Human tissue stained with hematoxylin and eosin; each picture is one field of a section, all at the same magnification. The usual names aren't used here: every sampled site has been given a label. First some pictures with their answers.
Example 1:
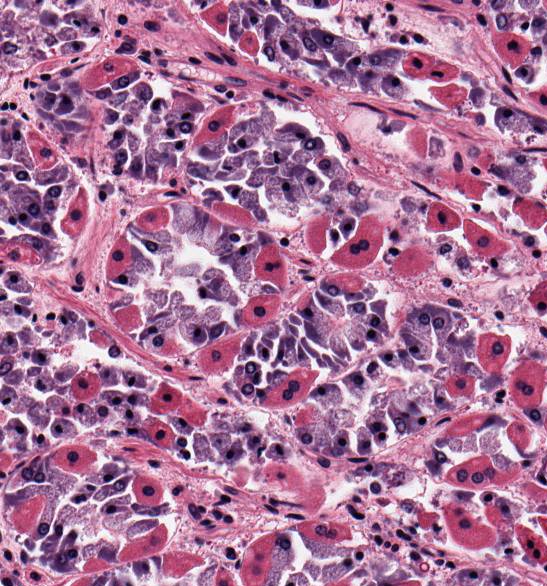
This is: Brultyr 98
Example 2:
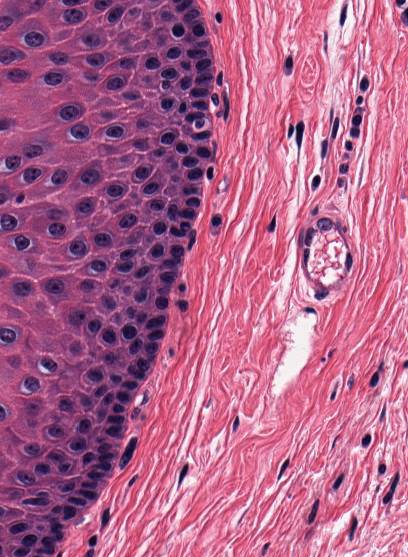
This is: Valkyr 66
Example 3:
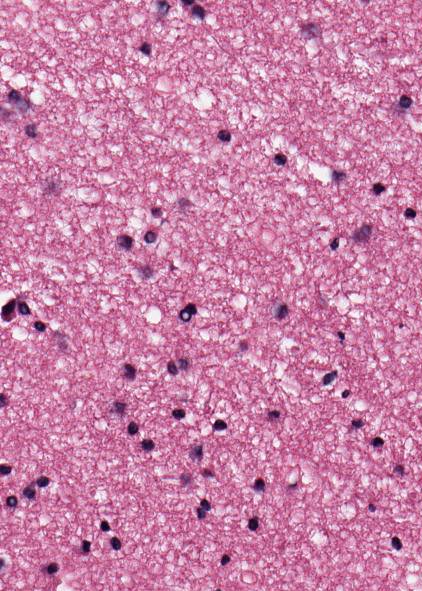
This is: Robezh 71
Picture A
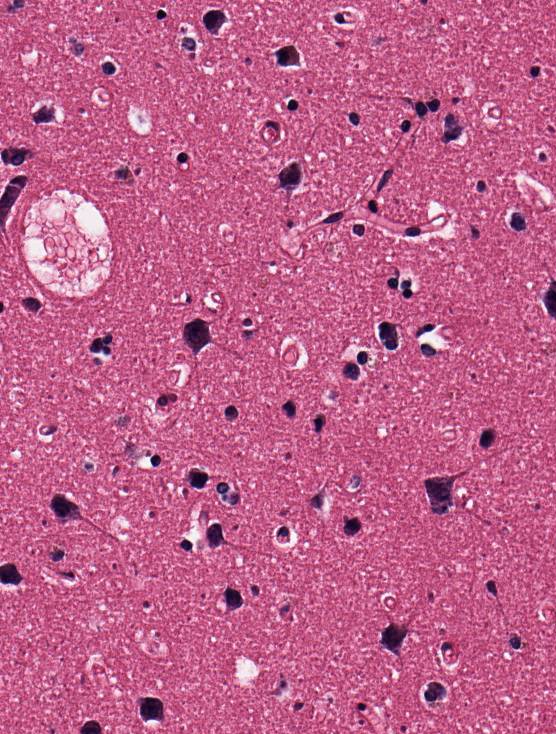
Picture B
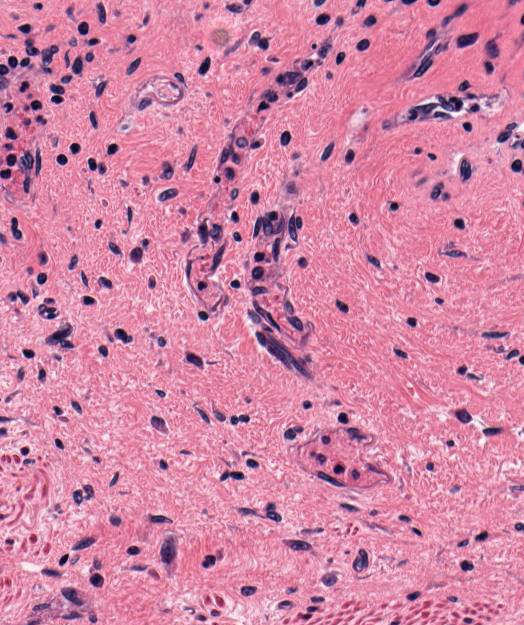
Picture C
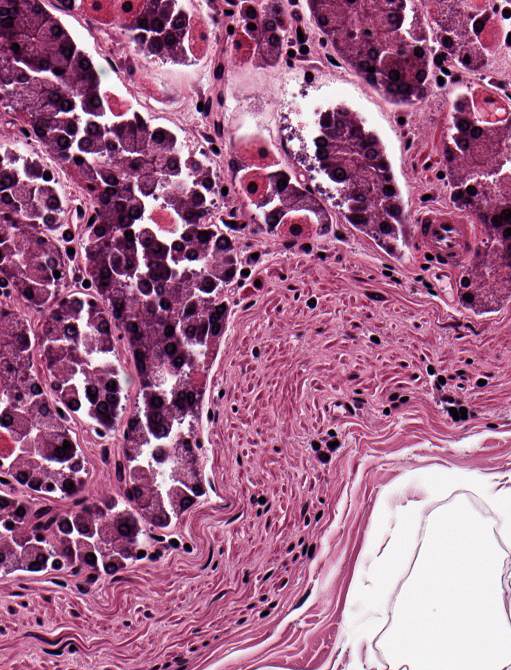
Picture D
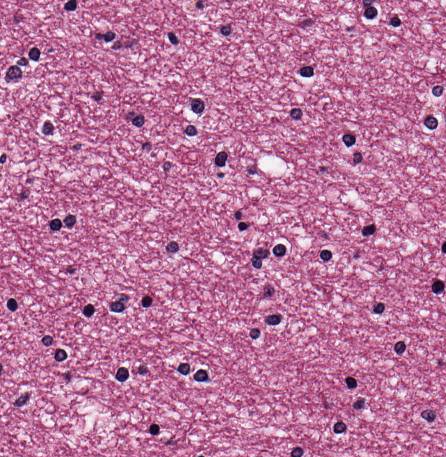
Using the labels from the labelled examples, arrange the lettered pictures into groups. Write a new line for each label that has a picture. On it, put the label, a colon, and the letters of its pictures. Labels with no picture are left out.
Brultyr 98: C
Valkyr 66: B
Robezh 71: A, D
